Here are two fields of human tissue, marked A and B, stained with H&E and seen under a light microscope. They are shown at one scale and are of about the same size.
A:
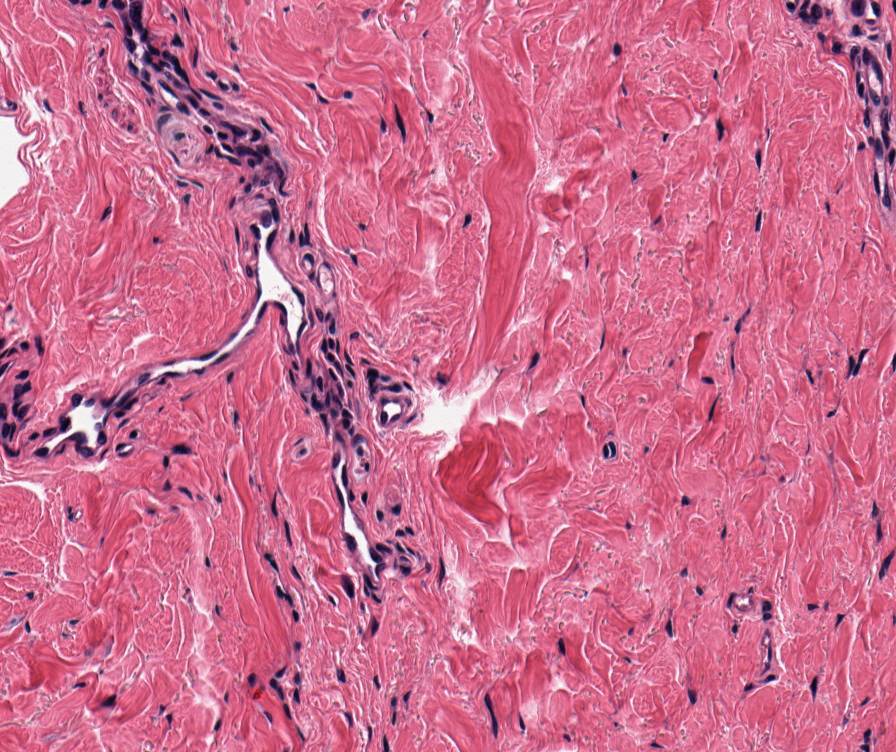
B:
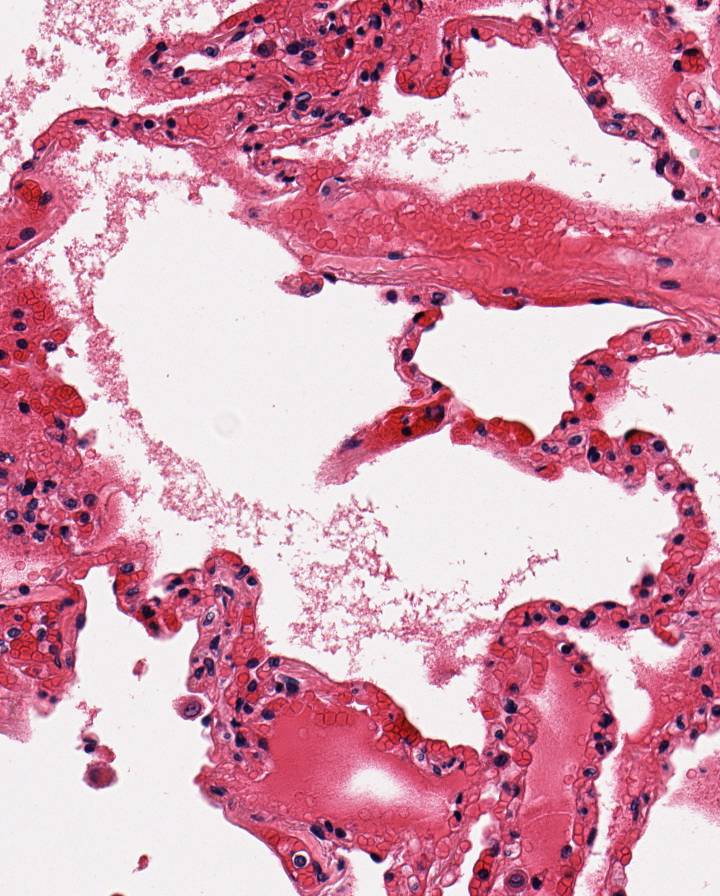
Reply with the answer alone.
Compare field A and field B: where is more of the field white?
B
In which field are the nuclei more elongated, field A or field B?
A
